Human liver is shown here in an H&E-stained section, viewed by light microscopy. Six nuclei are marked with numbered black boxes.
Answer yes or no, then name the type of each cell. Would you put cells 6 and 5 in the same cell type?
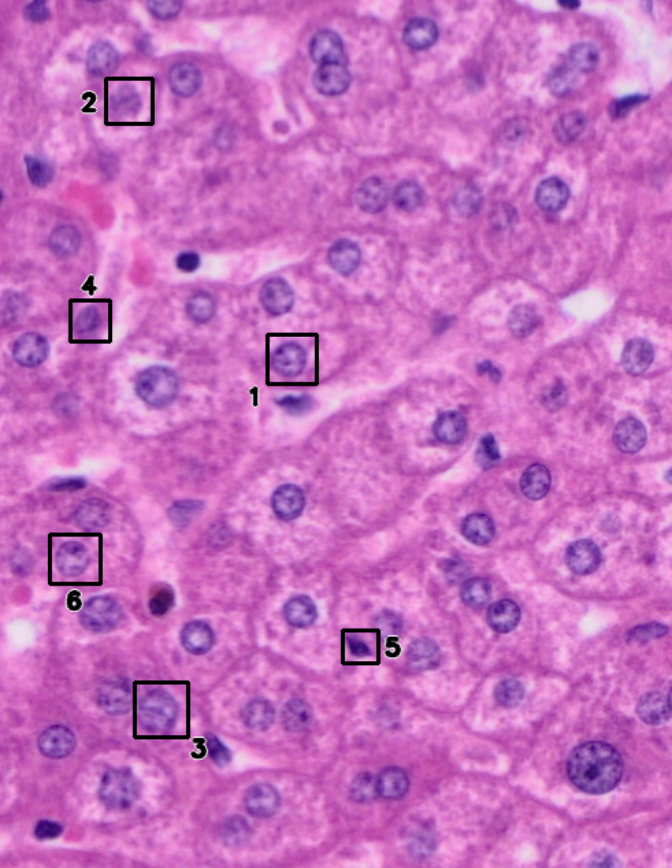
No, cell 6 is a hepatocyte and cell 5 is a fibroblast or stellate cell.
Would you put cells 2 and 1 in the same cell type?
Yes, both are hepatocytes.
